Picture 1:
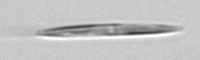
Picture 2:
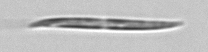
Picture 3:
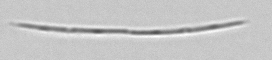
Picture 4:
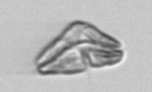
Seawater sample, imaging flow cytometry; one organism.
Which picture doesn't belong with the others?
Picture 4.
